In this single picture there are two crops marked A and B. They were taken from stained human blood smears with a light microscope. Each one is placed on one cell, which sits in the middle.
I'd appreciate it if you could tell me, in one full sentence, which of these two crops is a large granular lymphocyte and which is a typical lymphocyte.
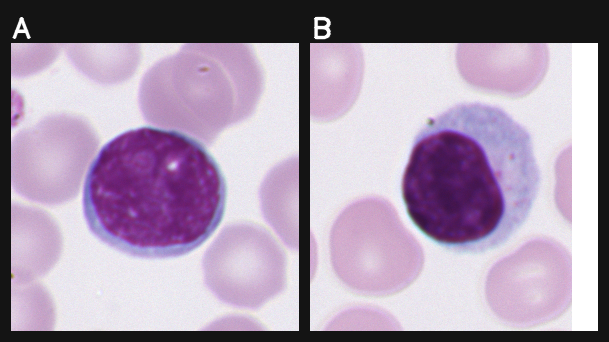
As for crop A, it is a typical lymphocyte; crop B, by contrast, is a large granular lymphocyte.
